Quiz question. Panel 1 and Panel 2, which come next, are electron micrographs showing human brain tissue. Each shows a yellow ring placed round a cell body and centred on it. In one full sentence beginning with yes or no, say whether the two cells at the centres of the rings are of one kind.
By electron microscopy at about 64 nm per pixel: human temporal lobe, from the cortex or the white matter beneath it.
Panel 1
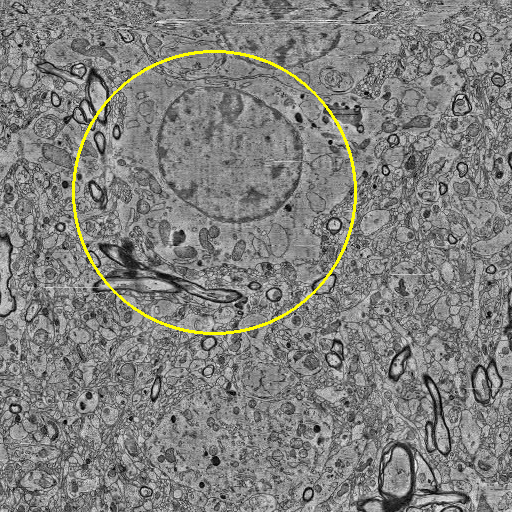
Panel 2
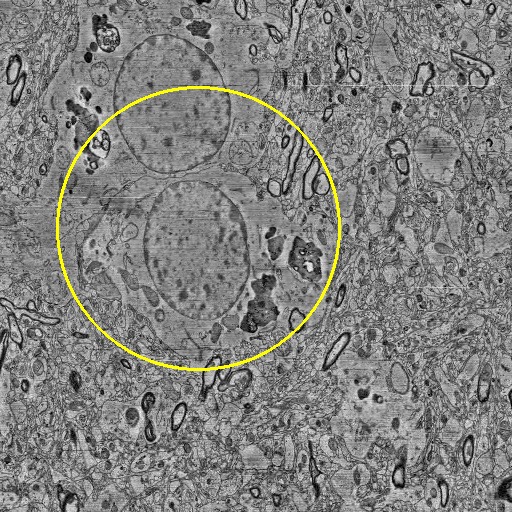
Yes, Panel 1 and Panel 2 show one kind of cell at the centre of the ring.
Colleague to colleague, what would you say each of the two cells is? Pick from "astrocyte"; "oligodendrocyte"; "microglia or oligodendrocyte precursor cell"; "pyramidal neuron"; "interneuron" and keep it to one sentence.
Each of the two rings is centred on an astrocyte.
